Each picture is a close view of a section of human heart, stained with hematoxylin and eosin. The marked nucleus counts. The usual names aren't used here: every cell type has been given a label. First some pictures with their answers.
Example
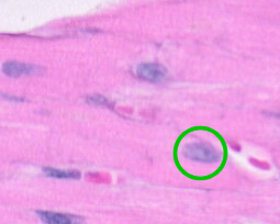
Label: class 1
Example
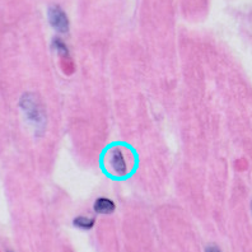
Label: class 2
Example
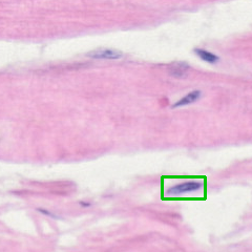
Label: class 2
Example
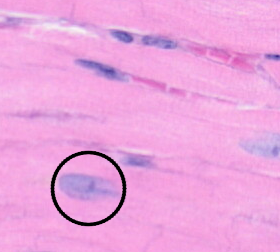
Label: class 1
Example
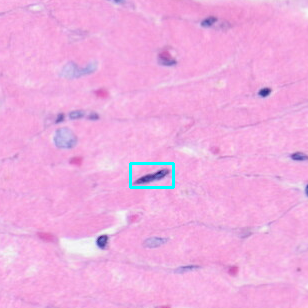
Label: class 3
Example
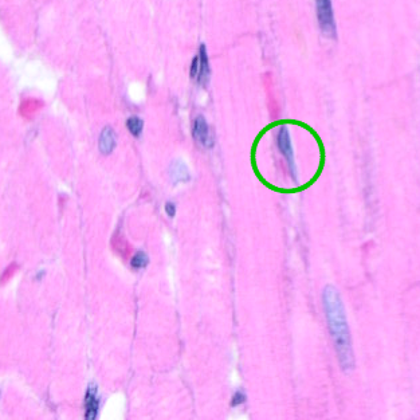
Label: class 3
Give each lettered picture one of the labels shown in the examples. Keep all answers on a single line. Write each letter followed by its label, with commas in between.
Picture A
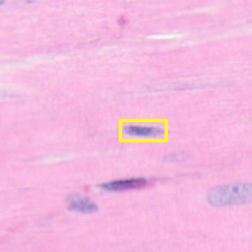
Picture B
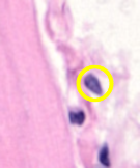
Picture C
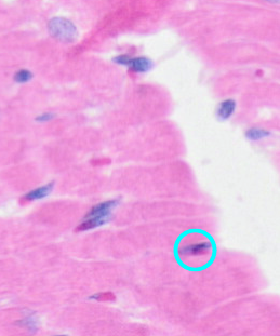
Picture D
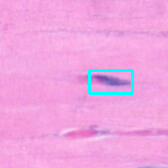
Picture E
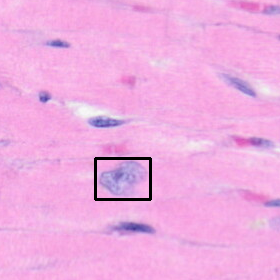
A class 3, B class 2, C class 3, D class 3, E class 1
